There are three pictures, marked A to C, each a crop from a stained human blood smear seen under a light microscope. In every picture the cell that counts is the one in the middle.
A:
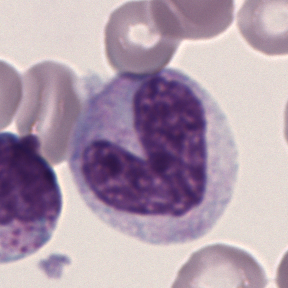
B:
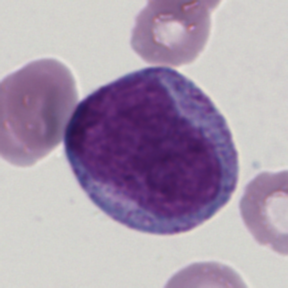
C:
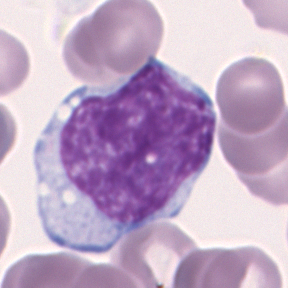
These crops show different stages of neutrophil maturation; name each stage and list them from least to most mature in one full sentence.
Along a scale from least to most mature, the order is crop C (a blast), crop B (a promyelocyte) and crop A (a band neutrophil).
